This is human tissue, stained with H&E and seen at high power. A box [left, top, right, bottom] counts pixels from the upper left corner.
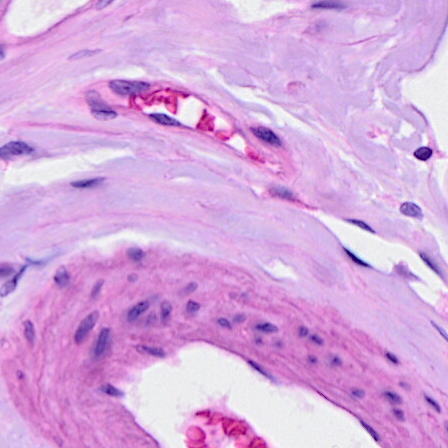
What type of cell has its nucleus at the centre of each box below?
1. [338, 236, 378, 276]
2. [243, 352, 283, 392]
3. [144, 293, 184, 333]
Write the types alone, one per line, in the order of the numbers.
endothelial cell
endothelial cell
smooth muscle cell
